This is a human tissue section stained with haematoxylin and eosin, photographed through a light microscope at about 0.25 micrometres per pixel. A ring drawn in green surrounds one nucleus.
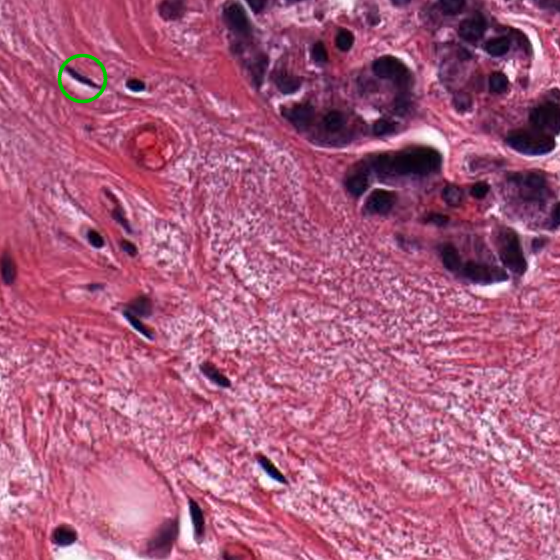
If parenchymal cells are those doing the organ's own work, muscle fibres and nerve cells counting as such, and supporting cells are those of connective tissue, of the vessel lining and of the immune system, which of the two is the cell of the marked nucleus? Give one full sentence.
Here the marked nucleus is the nucleus of a supporting cell.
